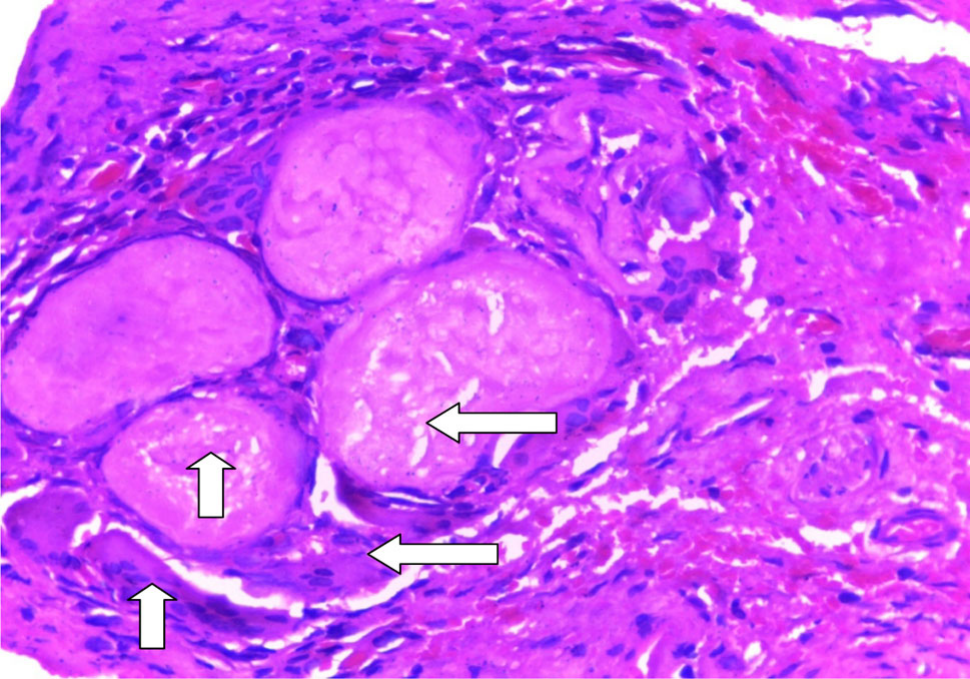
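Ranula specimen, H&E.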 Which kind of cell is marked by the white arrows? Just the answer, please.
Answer: Giant cells (mucinophages).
